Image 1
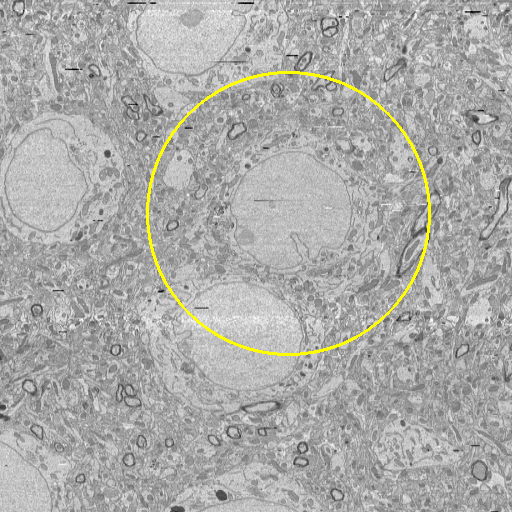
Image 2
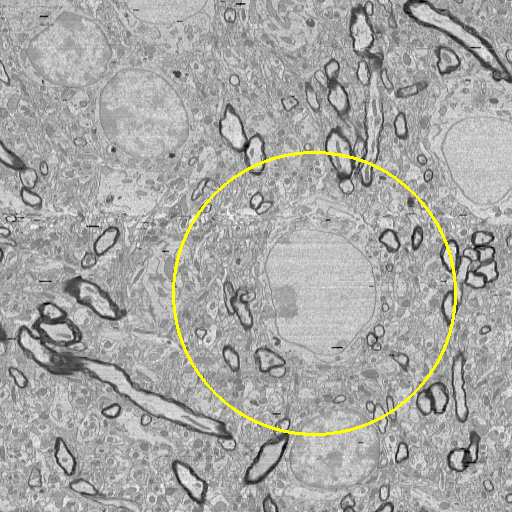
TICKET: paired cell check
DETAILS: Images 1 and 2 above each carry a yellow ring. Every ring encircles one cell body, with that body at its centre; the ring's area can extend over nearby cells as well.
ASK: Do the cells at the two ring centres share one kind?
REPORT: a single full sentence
No, the ring-centre cells of Images 1 and 2 belong to two kinds.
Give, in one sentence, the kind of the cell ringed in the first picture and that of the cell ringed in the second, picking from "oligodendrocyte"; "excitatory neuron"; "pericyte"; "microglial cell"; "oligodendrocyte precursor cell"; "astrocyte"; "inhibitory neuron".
For the first picture it is an inhibitory neuron; for the second, an excitatory neuron.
